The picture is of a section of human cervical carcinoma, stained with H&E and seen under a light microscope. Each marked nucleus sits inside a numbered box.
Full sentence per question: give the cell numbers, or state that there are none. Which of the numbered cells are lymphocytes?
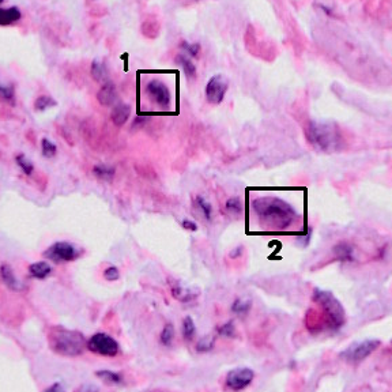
A single numbered cell, cell 1, is a lymphocyte.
